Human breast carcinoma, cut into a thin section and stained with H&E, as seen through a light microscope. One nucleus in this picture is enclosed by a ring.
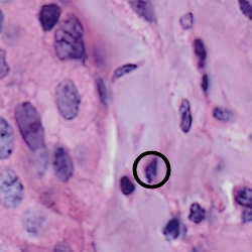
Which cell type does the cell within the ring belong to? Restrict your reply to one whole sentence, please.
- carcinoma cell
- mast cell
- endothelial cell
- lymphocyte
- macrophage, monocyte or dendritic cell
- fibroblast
In cell-type terms, the cell within the ring is a mast cell.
